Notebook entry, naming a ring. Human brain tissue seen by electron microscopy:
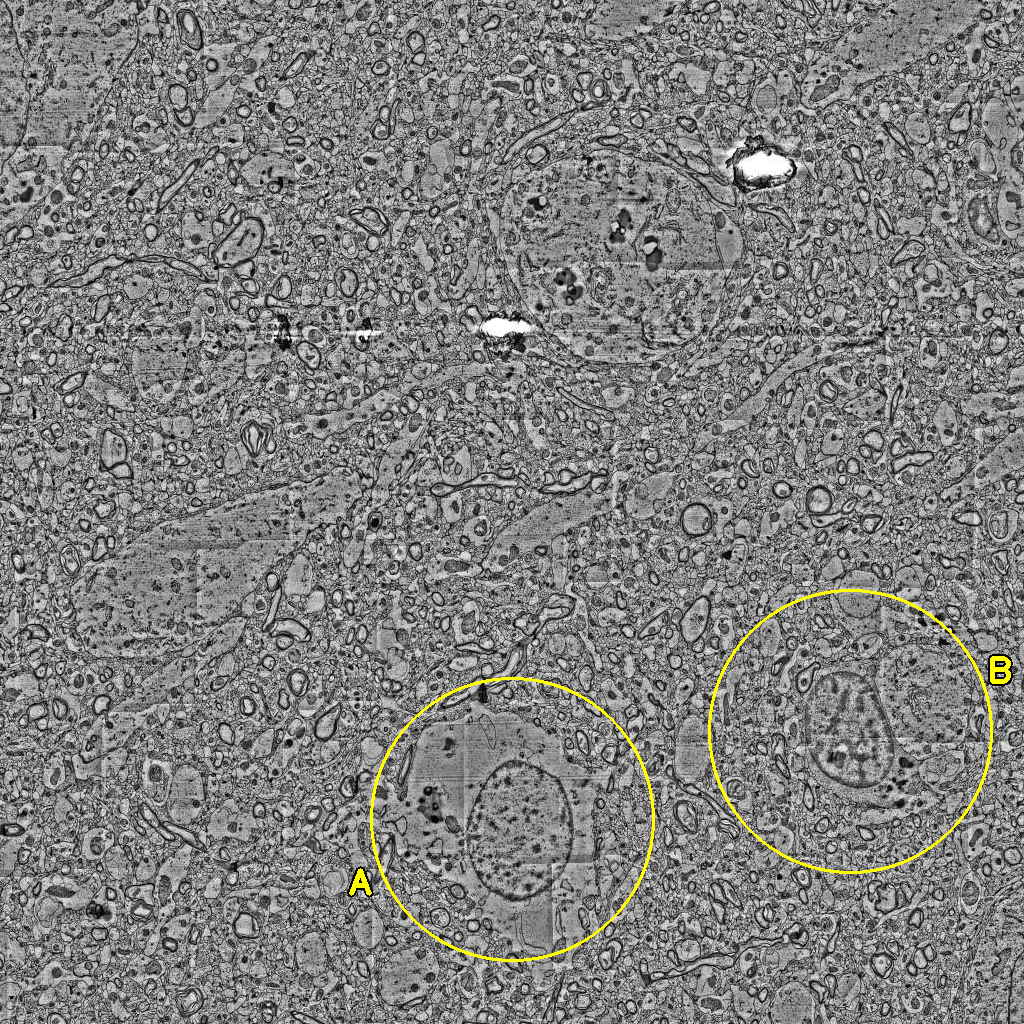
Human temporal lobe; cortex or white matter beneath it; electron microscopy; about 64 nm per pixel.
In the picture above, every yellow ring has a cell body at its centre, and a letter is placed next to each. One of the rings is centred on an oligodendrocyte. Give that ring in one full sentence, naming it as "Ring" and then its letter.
Ring B is the ring whose centre holds the cell asked for.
